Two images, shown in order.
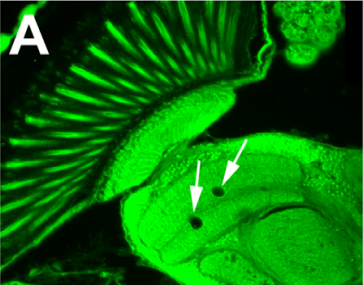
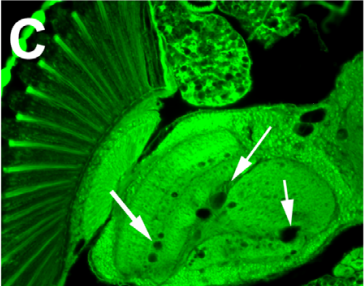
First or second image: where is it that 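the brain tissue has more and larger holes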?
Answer: the second image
